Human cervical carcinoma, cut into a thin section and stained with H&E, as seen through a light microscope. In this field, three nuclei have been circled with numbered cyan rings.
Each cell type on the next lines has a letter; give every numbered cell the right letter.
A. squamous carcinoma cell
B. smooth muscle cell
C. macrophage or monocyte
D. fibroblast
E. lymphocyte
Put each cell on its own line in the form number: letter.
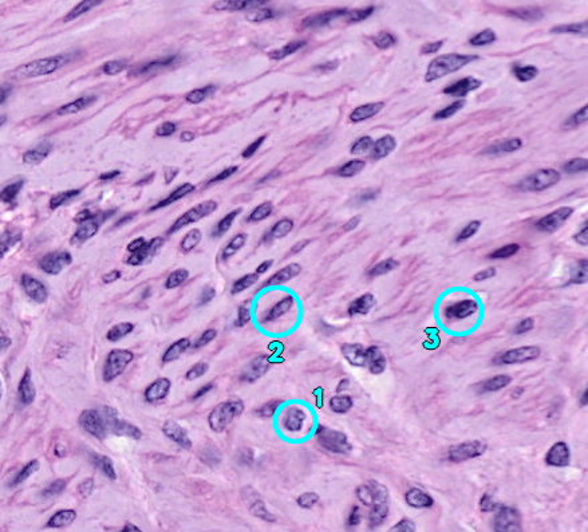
1: E
2: B
3: E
